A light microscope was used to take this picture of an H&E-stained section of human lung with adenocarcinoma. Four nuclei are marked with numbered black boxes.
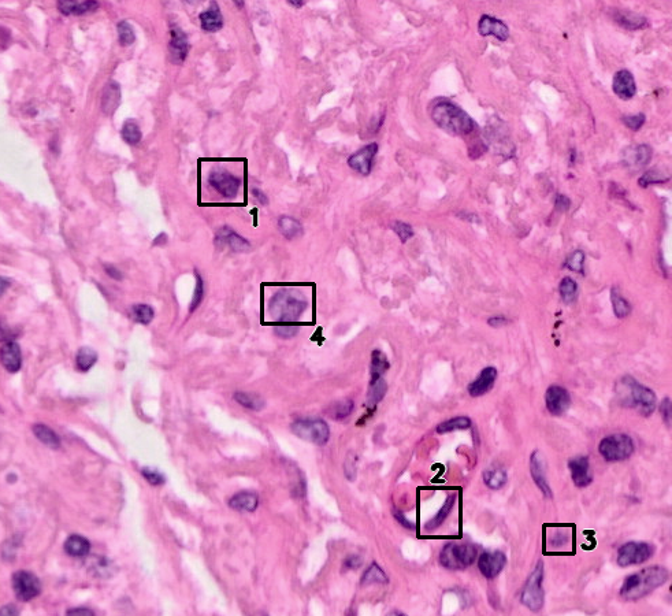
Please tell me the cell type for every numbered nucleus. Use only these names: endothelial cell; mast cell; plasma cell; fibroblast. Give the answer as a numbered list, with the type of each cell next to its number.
1. plasma cell
2. endothelial cell
3. mast cell
4. fibroblast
